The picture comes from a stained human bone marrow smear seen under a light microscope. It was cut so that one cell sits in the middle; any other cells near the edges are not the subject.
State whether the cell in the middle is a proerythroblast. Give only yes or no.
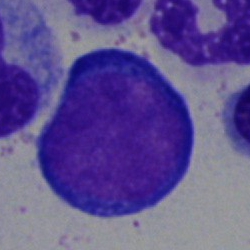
yes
